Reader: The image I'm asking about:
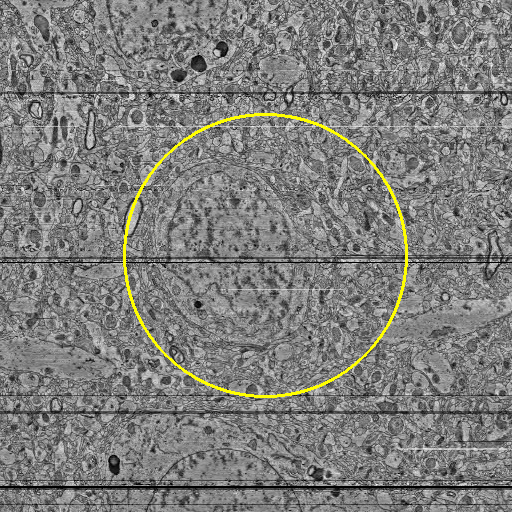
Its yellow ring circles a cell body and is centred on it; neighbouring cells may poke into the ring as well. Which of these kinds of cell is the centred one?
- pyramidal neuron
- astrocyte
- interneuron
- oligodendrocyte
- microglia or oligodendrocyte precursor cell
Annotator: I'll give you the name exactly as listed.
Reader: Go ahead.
interneuron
